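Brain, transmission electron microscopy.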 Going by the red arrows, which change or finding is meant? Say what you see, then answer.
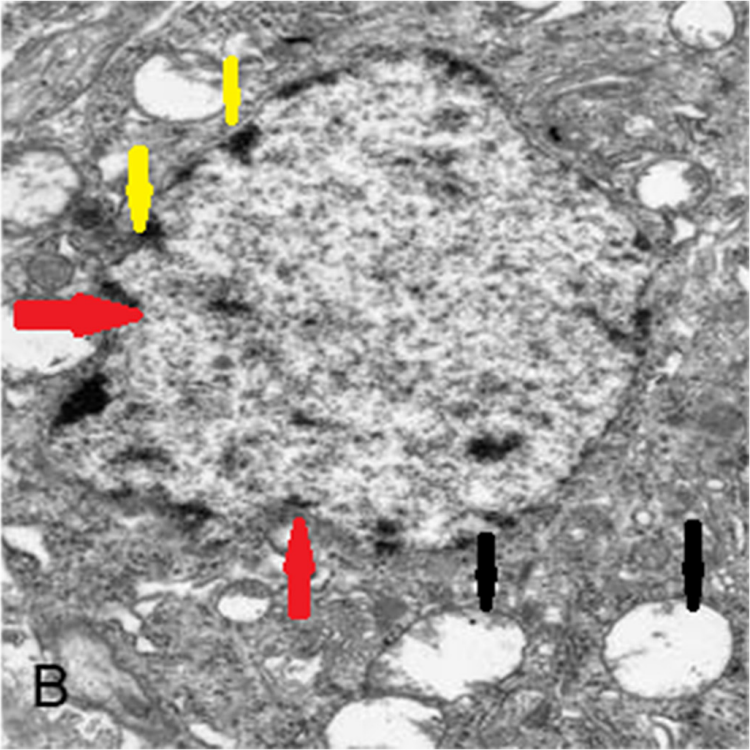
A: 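The red arrows point to the edge of the nucleus. The nuclear outline is irregular and indented rather than smoothly round. On this evidence: nucleus membrane shrinkage.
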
